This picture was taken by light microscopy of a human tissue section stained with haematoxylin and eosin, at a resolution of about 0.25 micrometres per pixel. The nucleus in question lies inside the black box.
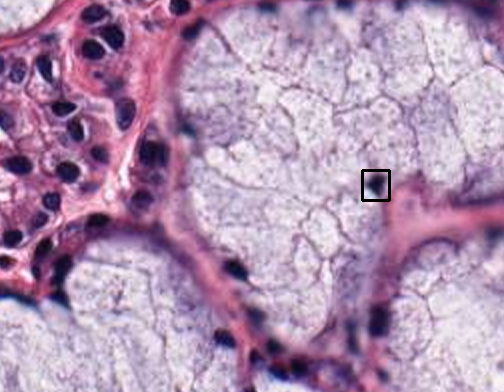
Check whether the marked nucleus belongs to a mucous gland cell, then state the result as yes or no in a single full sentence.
Yes, the marked nucleus belongs, in this section, to a mucous gland cell.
